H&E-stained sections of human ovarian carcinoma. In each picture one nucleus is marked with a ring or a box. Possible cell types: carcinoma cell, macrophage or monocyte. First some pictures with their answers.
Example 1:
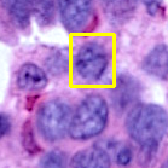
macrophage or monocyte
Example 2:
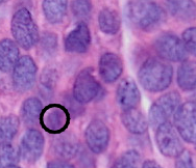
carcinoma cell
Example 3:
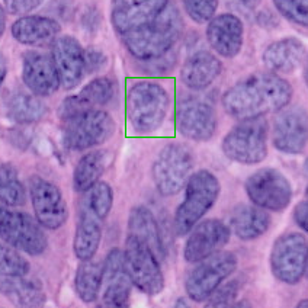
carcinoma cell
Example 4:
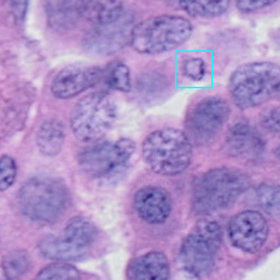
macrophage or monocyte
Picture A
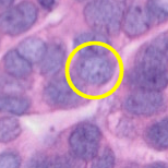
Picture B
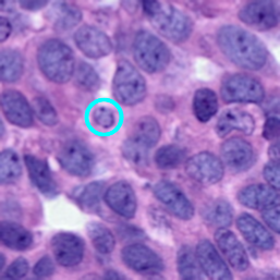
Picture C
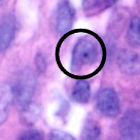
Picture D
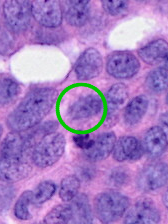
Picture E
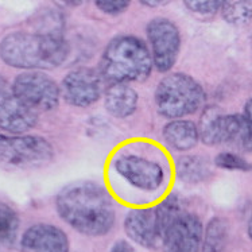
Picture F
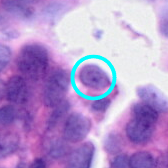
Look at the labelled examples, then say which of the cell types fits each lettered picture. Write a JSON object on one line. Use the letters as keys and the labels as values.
{"A": "carcinoma cell", "B": "macrophage or monocyte", "C": "macrophage or monocyte", "D": "carcinoma cell", "E": "macrophage or monocyte", "F": "carcinoma cell"}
